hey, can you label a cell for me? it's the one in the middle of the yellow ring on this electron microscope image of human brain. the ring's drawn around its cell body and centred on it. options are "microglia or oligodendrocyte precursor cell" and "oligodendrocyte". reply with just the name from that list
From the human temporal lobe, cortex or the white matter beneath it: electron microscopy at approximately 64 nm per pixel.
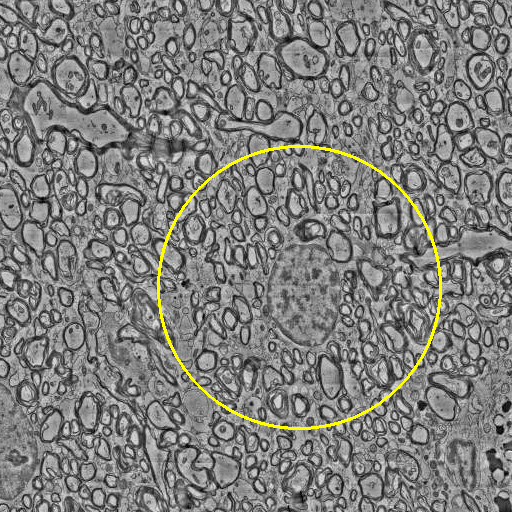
oligodendrocyte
